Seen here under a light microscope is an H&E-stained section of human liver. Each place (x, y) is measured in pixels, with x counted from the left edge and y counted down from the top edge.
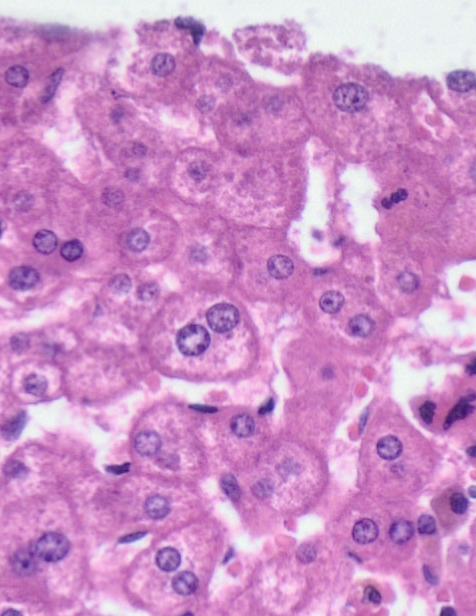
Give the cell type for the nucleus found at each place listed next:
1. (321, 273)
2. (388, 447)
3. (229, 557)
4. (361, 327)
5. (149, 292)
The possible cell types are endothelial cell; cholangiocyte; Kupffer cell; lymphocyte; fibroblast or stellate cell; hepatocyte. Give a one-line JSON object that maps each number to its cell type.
{"1": "fibroblast or stellate cell", "2": "hepatocyte", "3": "endothelial cell", "4": "hepatocyte", "5": "hepatocyte"}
